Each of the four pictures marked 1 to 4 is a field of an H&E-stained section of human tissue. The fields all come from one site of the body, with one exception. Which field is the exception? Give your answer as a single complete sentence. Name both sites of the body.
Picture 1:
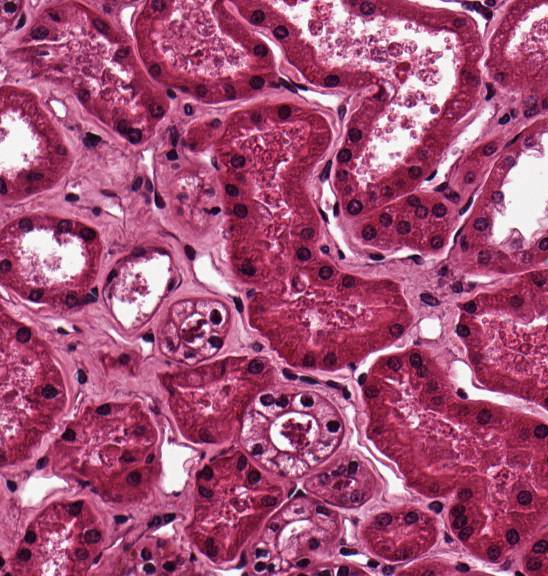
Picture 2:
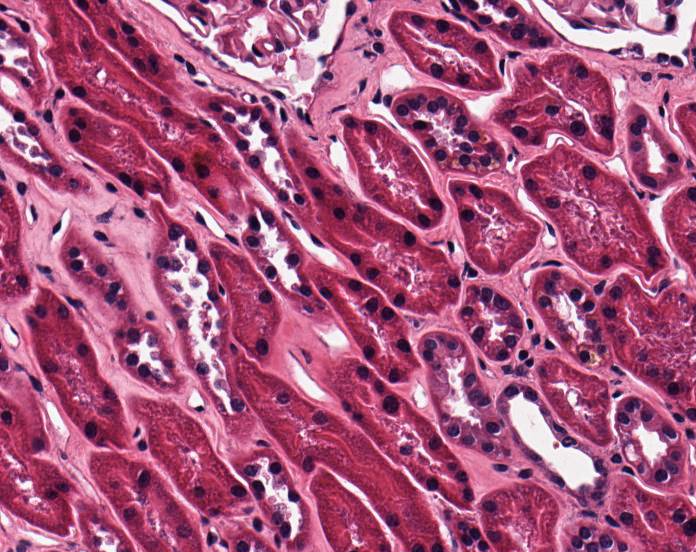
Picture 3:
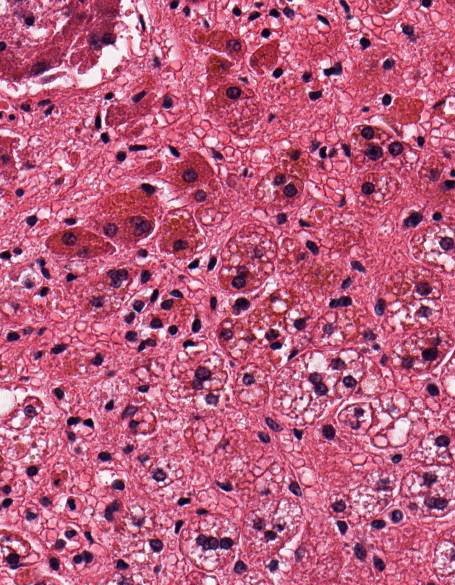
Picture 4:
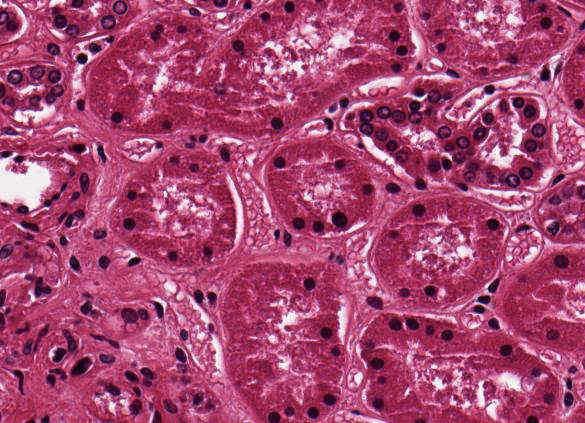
Picture 3 is the odd one out: it comes from the adrenal gland, while the others come from the renal cortex.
